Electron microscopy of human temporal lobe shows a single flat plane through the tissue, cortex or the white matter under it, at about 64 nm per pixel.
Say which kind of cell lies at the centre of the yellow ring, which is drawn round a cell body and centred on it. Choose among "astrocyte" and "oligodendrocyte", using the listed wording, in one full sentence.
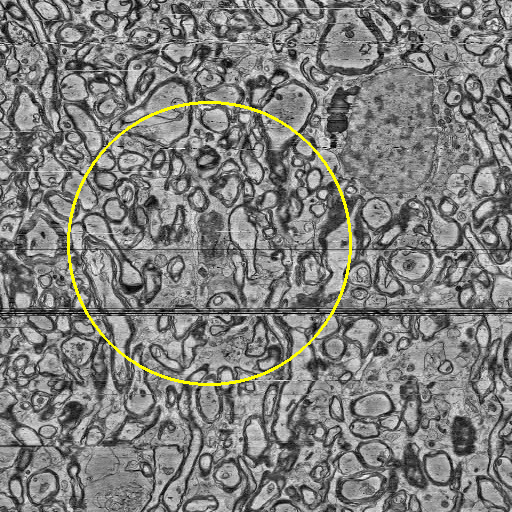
Going by the list, the cell at the yellow ring's centre is an oligodendrocyte.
